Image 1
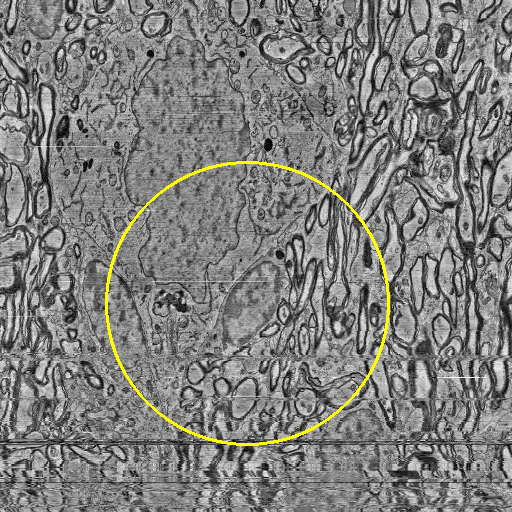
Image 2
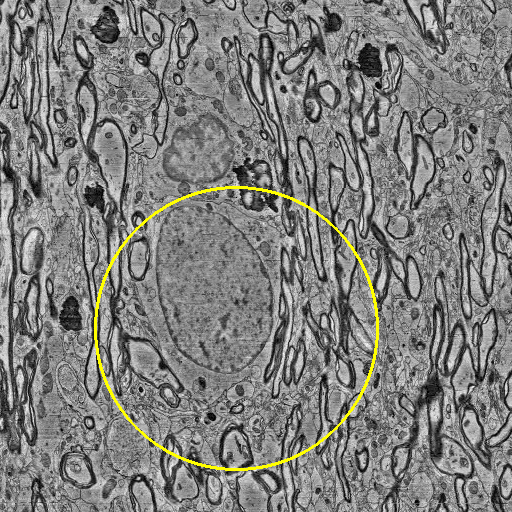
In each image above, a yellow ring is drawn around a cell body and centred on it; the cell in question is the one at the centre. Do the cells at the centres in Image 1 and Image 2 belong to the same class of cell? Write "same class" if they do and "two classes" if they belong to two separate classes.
two classes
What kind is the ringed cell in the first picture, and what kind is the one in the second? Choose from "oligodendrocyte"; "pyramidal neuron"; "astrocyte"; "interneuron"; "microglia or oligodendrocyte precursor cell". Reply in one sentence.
The first cell is an oligodendrocyte; the second is an astrocyte.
